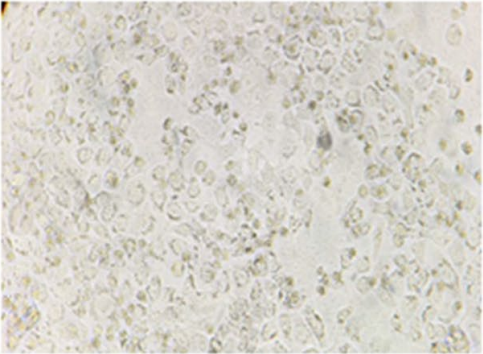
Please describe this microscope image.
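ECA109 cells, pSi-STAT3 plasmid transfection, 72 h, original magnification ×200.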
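These cultured cells no longer form a continuous sheet: they are scattered, with wide pale empty areas between them. Many of the remaining cells are shrunken and rounded, appearing as small bright-rimmed spheres rather than flat polygons. Some have irregular, granular outlines, and small clusters of rounded cells lie loosely across the field.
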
